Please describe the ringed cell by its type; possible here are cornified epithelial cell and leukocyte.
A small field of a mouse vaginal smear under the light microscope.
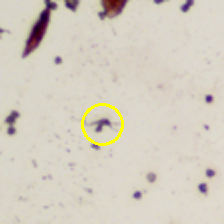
The yellow ring marks a leukocyte.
